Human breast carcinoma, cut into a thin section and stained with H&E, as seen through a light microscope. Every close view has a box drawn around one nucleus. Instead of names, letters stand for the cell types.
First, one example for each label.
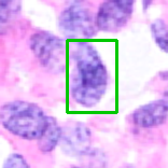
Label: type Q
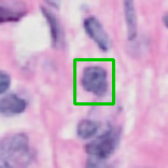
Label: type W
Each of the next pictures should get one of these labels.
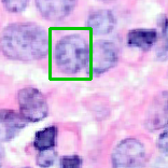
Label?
type Q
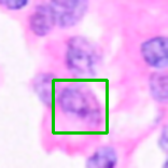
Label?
type Q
